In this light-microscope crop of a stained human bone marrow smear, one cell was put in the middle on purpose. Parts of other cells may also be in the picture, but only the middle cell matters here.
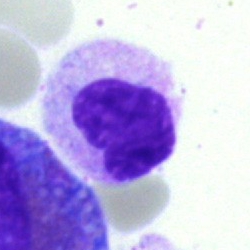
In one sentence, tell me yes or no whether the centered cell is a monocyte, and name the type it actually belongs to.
No, the cell in the middle is a metamyelocyte, not a monocyte.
